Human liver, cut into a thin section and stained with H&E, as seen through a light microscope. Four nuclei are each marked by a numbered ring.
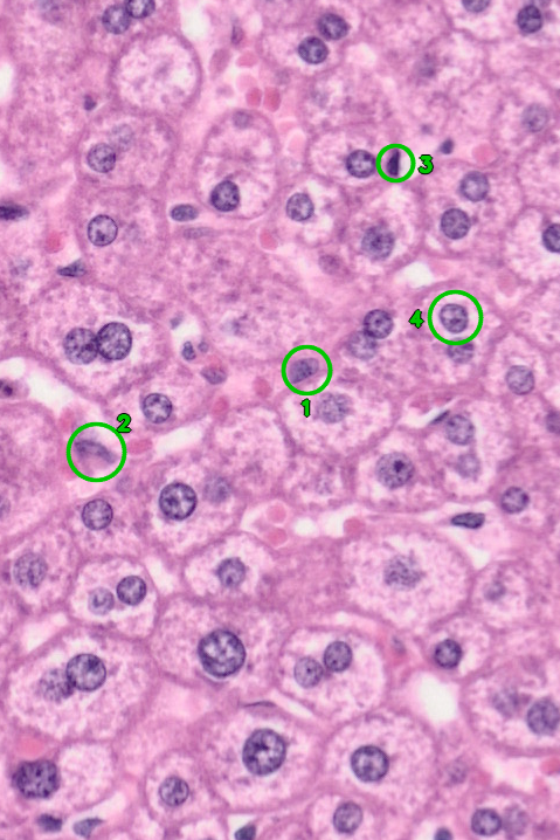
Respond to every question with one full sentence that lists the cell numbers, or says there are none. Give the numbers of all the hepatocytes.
Exactly one of the numbered cells is a hepatocyte, namely cell 4.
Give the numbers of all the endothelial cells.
When it comes to cells 1 and 3, they are endothelial cells.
